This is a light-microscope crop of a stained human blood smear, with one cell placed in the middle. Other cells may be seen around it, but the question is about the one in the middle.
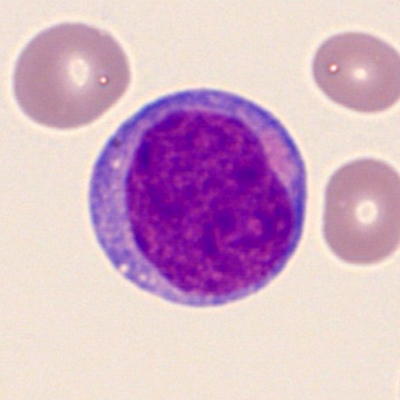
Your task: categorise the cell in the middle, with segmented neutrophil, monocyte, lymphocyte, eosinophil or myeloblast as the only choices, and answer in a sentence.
The target cell in the middle of the crop is a myeloblast.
